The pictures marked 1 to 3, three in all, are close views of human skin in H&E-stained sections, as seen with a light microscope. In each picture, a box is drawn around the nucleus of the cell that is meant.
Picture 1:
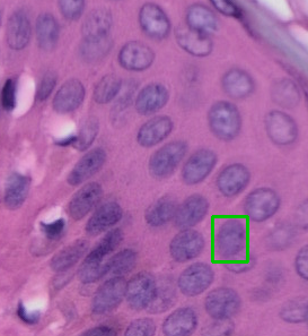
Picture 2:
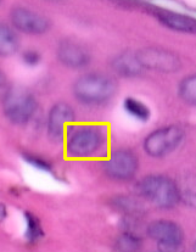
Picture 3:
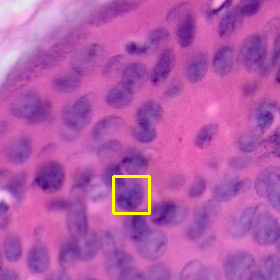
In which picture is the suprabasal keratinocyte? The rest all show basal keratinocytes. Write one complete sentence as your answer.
The suprabasal keratinocyte is the one in picture 1.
